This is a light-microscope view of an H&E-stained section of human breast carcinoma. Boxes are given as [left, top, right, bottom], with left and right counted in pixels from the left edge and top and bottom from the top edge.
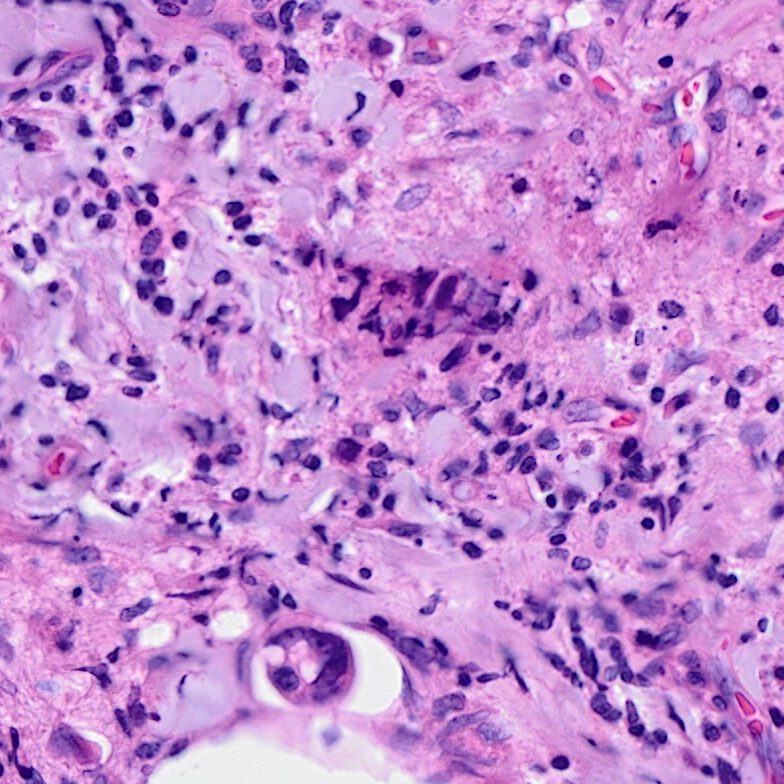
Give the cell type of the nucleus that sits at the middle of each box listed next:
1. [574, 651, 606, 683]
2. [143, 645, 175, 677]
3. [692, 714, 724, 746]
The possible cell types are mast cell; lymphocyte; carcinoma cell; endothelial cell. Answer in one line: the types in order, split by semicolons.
lymphocyte; endothelial cell; mast cell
